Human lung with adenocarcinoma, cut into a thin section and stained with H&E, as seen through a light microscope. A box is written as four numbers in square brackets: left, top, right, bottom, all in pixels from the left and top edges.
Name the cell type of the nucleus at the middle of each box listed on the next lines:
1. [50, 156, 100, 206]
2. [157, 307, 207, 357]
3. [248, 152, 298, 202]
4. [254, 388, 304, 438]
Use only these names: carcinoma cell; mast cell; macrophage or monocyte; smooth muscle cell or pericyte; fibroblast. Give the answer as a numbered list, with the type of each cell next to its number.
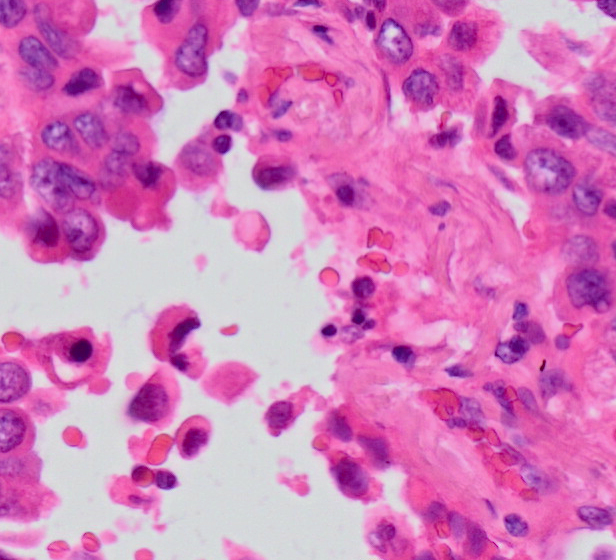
1. carcinoma cell
2. carcinoma cell
3. carcinoma cell
4. macrophage or monocyte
